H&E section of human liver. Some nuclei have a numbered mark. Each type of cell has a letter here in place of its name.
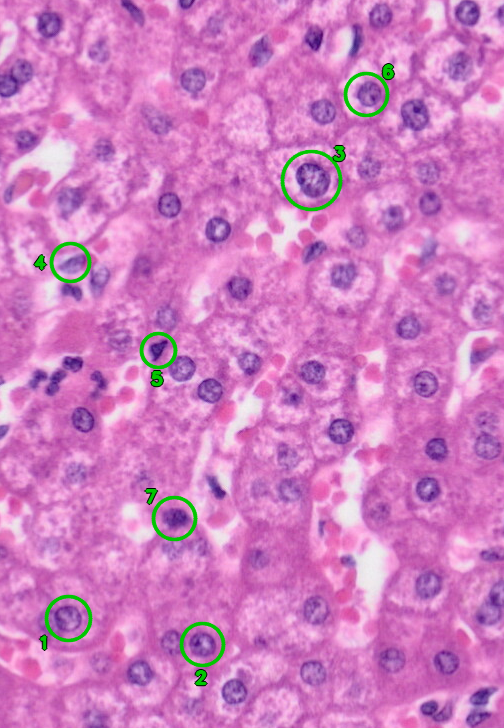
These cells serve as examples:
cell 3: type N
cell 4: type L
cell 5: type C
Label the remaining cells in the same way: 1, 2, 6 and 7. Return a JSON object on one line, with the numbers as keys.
{"1": "type N", "2": "type N", "6": "type N", "7": "type C"}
